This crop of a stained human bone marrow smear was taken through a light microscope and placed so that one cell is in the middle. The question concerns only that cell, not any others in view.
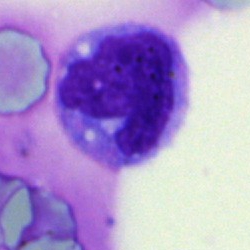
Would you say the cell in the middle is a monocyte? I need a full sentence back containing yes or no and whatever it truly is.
Yes, in the centre of this field sits a monocyte.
